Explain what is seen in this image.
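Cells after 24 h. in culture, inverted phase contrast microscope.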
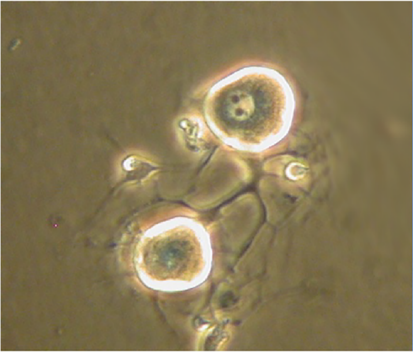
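Within the upper cell a rounded nucleus is visible, with small dark dots inside it. The lower cell body is similar in size and appears granular. Thin, faint processes run between the two cell bodies and out toward the edges of the field. Several much smaller, round, bright cells lie close beside the large cells, and flattened, darker strands form a loose meshwork on the dish surface around them.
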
